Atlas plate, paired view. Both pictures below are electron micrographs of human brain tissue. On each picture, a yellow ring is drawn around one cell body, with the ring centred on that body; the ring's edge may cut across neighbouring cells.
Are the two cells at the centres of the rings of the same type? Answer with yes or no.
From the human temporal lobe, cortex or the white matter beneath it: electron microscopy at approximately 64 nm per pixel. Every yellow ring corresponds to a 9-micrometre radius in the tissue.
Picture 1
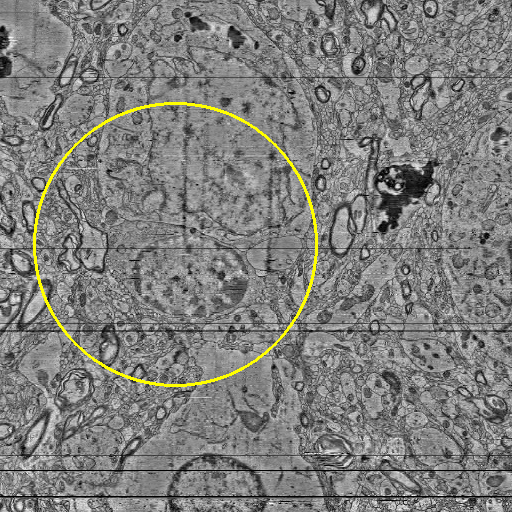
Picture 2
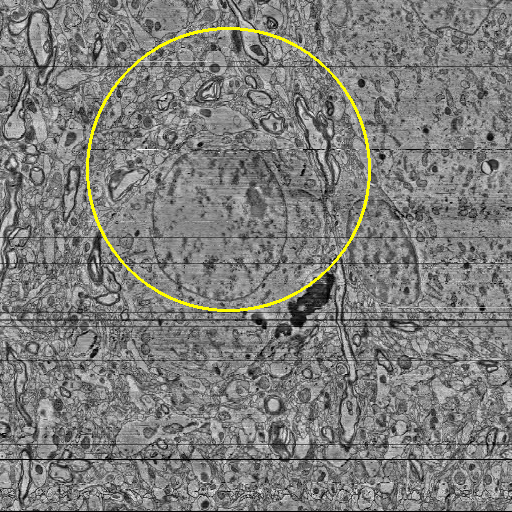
no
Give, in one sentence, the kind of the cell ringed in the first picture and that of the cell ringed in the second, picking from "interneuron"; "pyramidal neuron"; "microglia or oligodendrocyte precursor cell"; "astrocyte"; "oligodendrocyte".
For the first picture it is an oligodendrocyte; for the second, a pyramidal neuron.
